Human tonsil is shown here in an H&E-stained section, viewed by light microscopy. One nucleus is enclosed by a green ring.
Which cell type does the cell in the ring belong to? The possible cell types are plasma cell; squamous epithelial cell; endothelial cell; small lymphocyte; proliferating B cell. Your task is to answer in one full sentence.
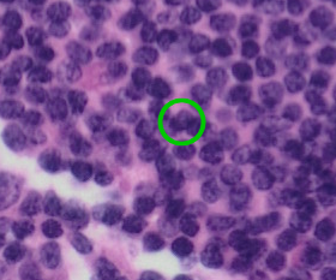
So far as cell type goes, the cell in the ring is a small lymphocyte.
